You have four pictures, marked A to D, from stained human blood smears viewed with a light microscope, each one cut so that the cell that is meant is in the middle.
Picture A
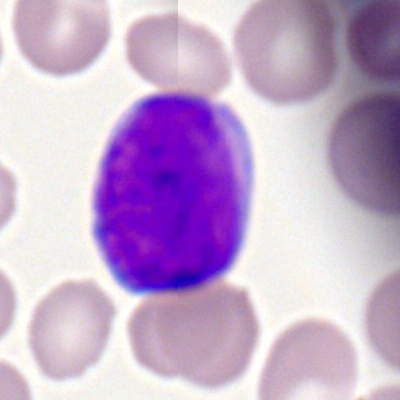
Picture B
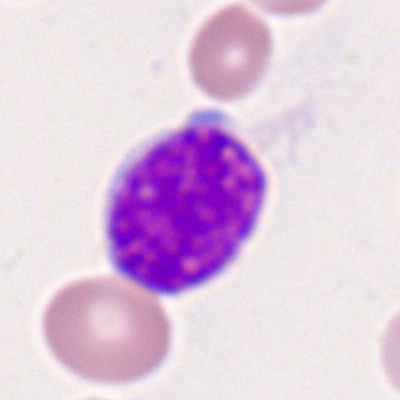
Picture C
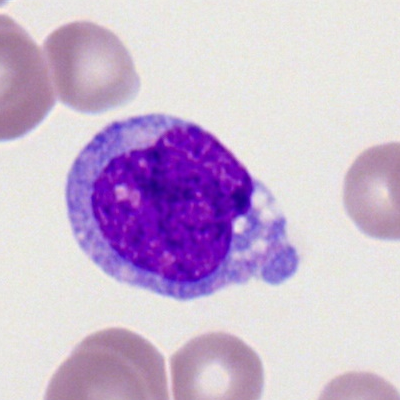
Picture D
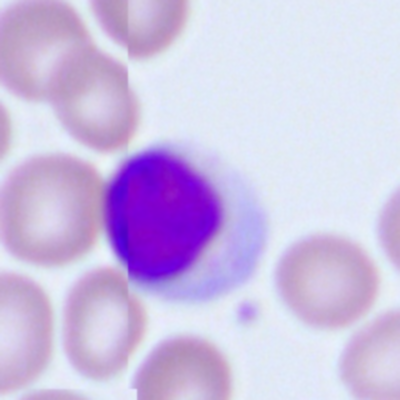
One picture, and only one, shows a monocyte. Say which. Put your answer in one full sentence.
It is picture C that shows the monocyte.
